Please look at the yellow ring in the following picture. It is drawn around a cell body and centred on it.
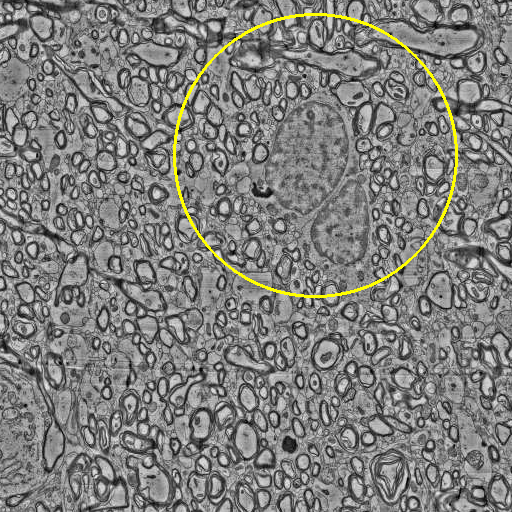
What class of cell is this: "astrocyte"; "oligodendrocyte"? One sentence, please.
The ring surrounds the cell body of an oligodendrocyte.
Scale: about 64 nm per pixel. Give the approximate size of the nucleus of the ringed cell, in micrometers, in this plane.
About 7 by 5 micrometers for the nucleus, in this plane.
